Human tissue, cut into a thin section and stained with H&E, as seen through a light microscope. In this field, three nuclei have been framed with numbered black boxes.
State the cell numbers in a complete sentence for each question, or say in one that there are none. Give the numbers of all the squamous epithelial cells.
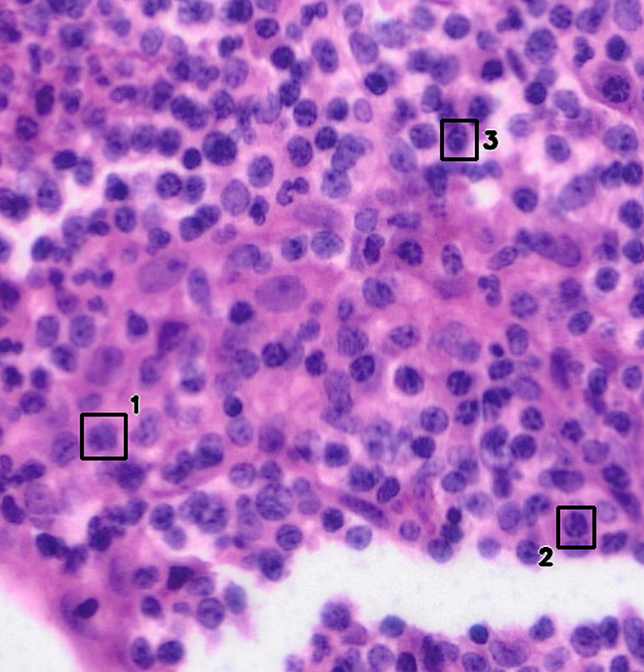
Cell 1 is a squamous epithelial cell, while every other numbered cell is not.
